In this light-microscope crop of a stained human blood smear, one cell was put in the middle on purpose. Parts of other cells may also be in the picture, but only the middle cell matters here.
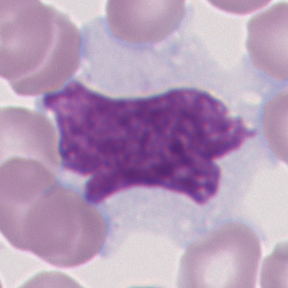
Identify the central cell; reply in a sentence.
The cell found in the middle of this crop is a monocyte.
